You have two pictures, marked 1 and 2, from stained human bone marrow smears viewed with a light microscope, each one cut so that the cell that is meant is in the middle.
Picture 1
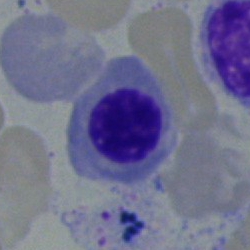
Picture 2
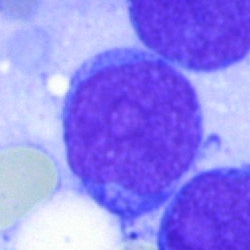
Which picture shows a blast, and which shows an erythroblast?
1: erythroblast
2: blast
